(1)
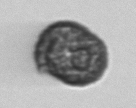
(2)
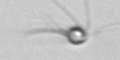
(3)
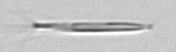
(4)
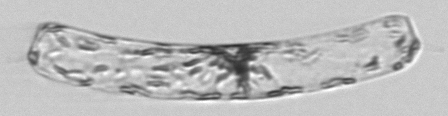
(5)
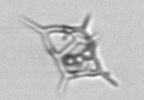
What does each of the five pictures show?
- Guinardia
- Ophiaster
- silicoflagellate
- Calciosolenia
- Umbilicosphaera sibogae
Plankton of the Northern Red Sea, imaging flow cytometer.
(1) Umbilicosphaera sibogae
(2) Ophiaster
(3) Calciosolenia
(4) Guinardia
(5) silicoflagellate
